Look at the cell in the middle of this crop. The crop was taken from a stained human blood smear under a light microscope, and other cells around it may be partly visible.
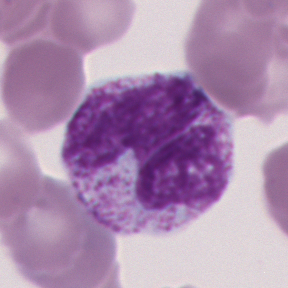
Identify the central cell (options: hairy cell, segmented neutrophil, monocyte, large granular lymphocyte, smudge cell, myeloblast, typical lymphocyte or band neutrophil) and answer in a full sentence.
Within this crop, a band neutrophil occupies the central position.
